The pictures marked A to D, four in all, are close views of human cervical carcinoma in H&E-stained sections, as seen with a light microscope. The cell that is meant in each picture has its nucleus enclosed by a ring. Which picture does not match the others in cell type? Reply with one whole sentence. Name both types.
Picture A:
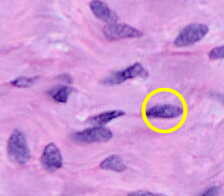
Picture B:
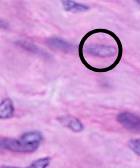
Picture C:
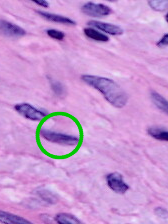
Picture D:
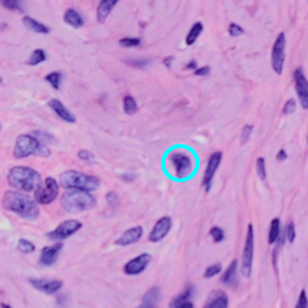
The different one is picture B; it shows a smooth muscle cell, whereas all the others show fibroblasts.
